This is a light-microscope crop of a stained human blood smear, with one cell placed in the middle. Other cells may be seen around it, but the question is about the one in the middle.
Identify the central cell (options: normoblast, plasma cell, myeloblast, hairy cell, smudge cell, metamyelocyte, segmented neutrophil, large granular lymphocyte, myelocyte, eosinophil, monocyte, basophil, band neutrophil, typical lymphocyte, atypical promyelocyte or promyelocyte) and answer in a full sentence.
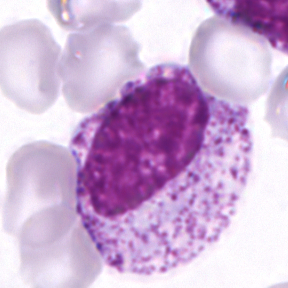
In the central position of this crop, the cell is a myelocyte.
